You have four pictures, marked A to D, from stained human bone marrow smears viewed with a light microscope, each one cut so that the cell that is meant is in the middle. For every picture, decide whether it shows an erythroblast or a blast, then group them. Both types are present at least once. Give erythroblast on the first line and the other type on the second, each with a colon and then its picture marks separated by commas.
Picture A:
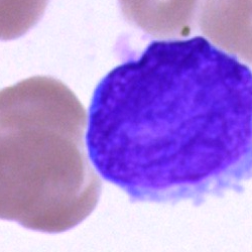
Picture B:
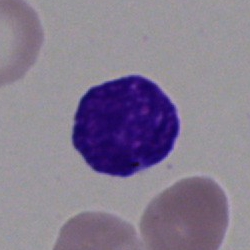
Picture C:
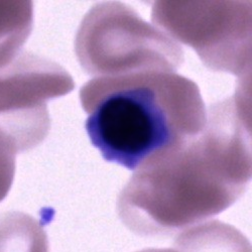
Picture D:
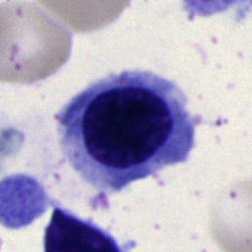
erythroblast: C, D
blast: A, B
